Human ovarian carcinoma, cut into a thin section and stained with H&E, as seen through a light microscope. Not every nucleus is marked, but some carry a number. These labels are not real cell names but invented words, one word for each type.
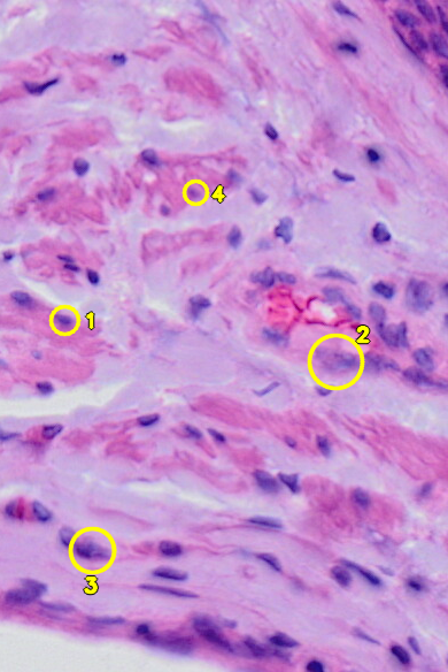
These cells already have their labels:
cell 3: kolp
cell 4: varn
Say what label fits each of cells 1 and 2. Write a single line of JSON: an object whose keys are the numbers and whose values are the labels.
{"1": "varn", "2": "kolp"}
